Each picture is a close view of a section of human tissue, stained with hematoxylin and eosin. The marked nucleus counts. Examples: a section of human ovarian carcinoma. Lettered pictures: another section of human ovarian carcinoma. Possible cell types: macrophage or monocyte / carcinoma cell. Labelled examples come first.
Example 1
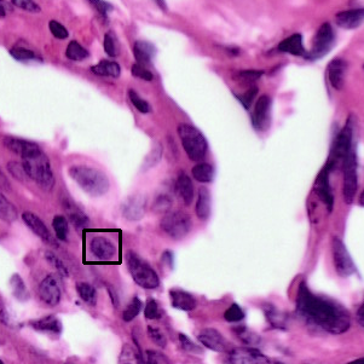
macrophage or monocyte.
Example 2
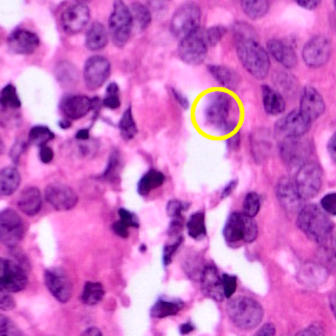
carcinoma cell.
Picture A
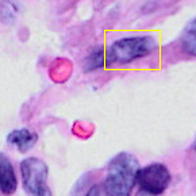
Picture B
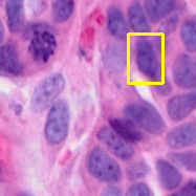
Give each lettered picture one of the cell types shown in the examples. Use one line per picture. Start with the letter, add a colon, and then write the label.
A: macrophage or monocyte.
B: carcinoma cell.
